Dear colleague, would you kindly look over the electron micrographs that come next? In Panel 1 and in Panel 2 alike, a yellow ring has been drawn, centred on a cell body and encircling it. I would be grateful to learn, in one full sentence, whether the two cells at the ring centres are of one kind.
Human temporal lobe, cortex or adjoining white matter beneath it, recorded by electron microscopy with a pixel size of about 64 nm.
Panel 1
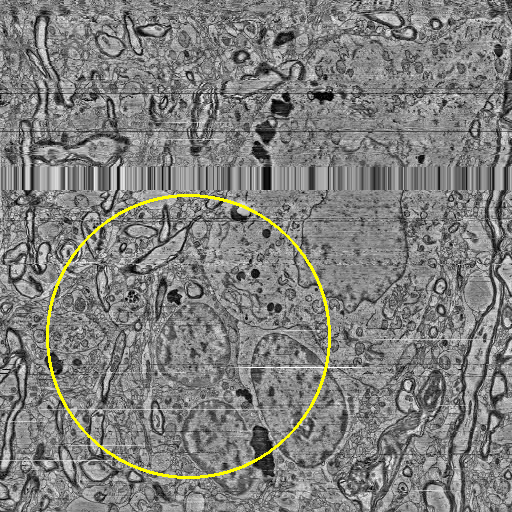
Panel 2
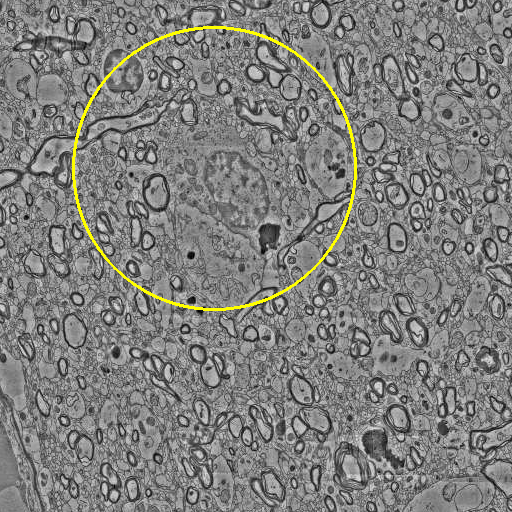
Yes, the cells in the middle of the rings in the two panels are of one kind.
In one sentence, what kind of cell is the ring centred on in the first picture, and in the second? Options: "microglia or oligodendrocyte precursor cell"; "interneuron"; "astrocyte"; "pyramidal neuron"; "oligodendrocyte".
Each of the ringed cells, first and second, is an oligodendrocyte.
